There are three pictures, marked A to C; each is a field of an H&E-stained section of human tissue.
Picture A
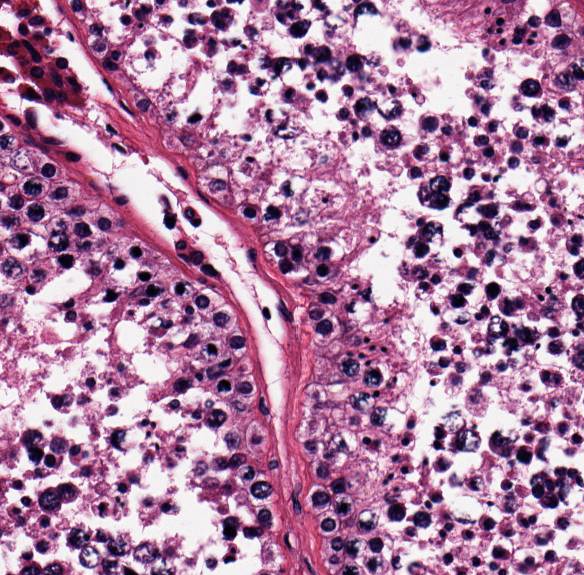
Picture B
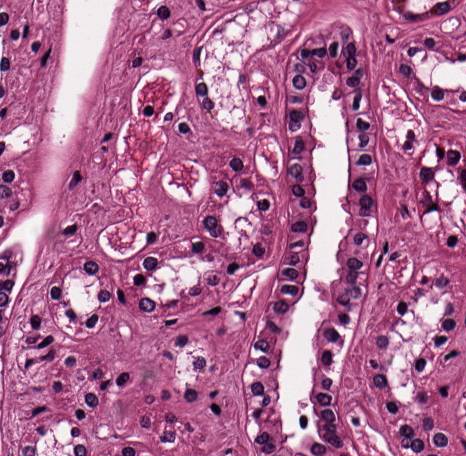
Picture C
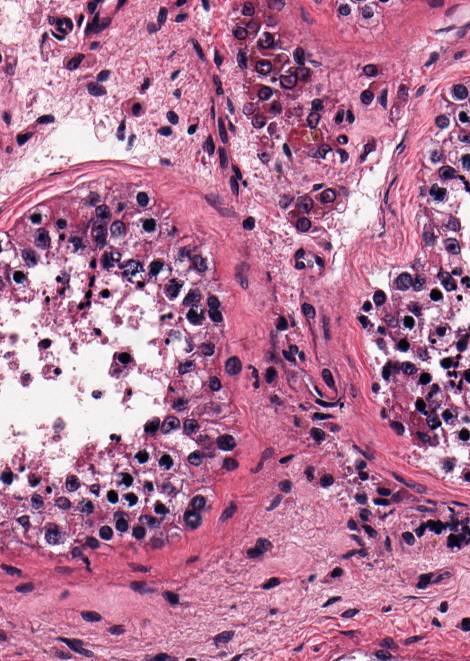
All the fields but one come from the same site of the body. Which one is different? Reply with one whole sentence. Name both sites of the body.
Unlike the rest, which come from the testis, picture B comes from the renal medulla.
